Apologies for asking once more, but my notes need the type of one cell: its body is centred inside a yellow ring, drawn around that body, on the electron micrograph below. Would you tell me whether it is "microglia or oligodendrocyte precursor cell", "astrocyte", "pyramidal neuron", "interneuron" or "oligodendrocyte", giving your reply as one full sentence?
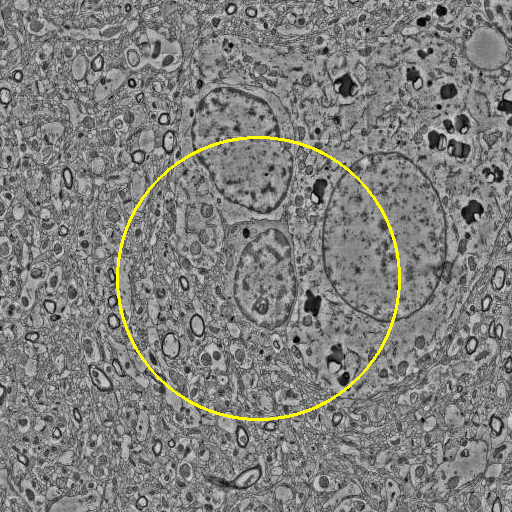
The cell that the yellow ring is centred on is an oligodendrocyte in this micrograph.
